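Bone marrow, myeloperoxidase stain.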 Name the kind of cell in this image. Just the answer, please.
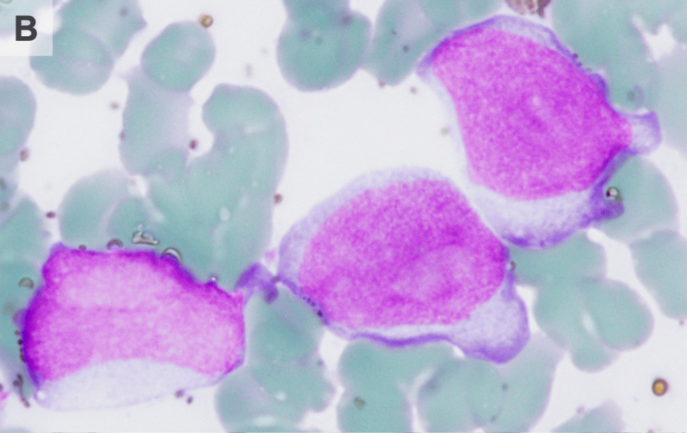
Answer: Megakaryoblasts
